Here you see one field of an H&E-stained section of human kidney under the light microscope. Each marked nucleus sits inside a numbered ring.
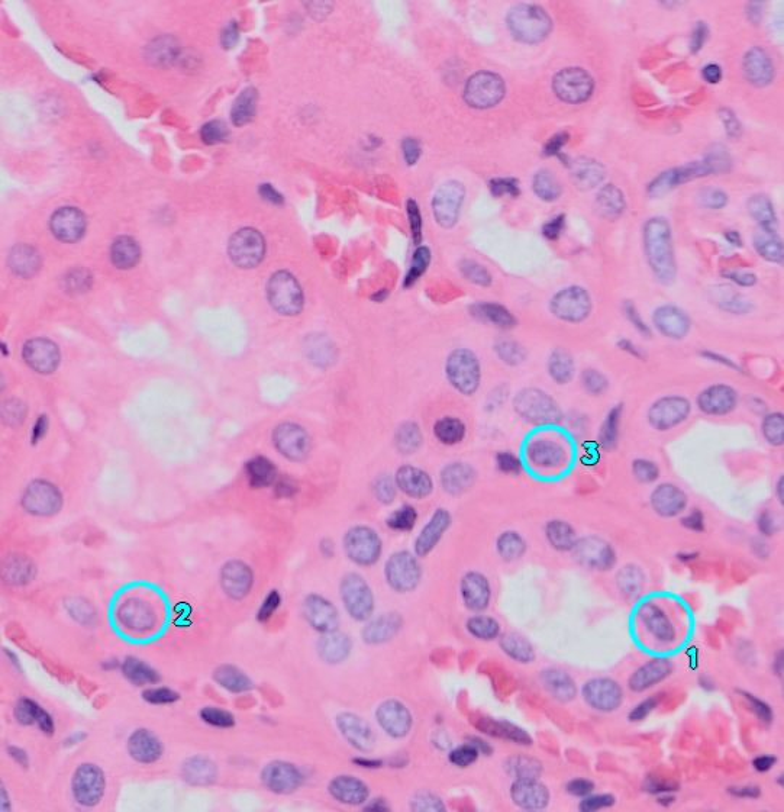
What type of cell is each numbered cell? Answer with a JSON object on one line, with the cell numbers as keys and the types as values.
{"1": "collecting duct cell", "2": "proximal tubule cell", "3": "collecting duct cell"}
